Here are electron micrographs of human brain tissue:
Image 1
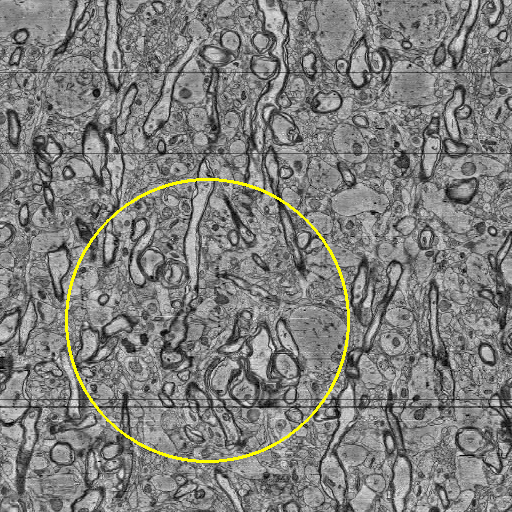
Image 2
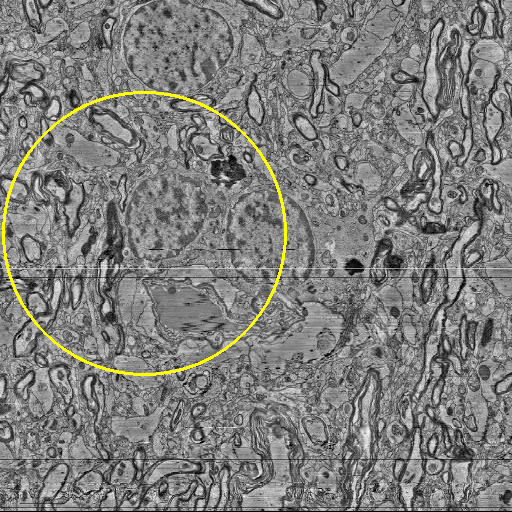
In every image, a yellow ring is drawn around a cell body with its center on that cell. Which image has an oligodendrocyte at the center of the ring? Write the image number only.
2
